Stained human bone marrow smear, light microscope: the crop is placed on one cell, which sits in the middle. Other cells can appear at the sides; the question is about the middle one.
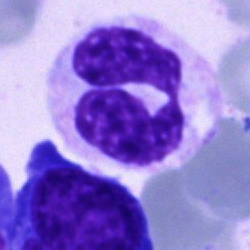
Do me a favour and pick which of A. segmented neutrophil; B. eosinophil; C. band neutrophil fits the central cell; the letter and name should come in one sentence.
It is a segmented neutrophil that occupies the centre of the crop, so option A is correct.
